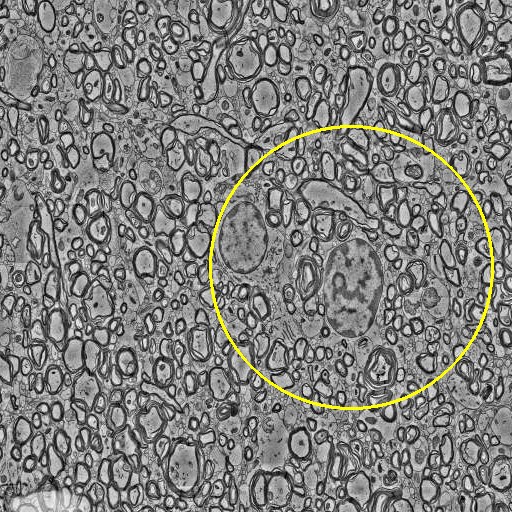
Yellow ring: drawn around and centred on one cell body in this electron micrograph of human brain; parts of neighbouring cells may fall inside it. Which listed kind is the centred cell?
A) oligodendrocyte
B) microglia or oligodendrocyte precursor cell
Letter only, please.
B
